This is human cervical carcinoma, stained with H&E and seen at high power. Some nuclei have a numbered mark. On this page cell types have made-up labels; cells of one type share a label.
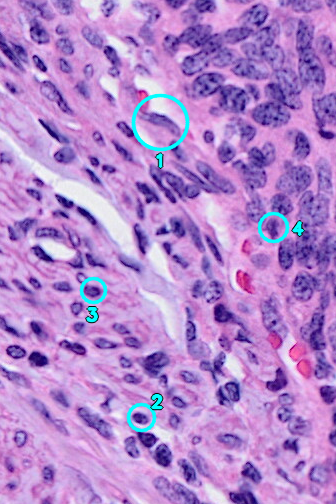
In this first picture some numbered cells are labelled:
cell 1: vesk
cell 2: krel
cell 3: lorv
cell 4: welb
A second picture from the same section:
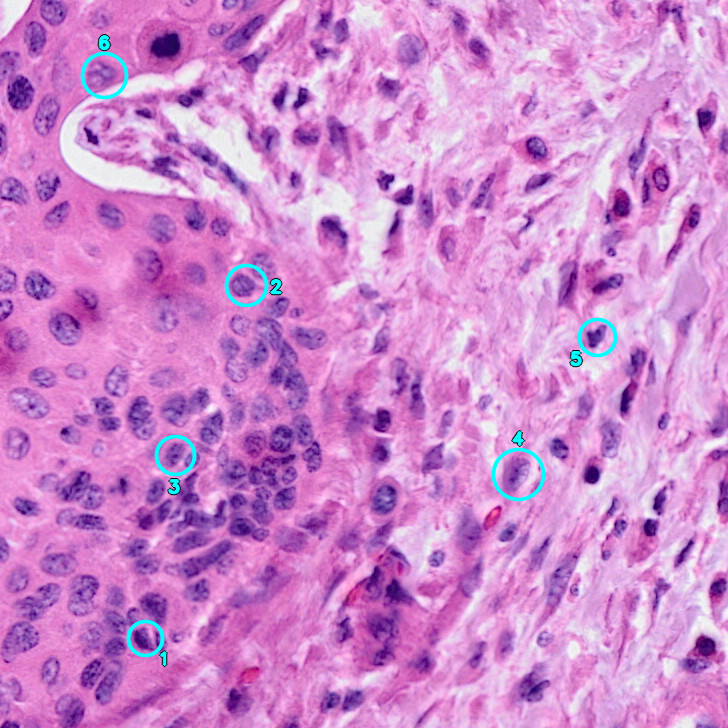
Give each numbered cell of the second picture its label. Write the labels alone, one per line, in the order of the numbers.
welb
welb
welb
vesk
krel
welb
